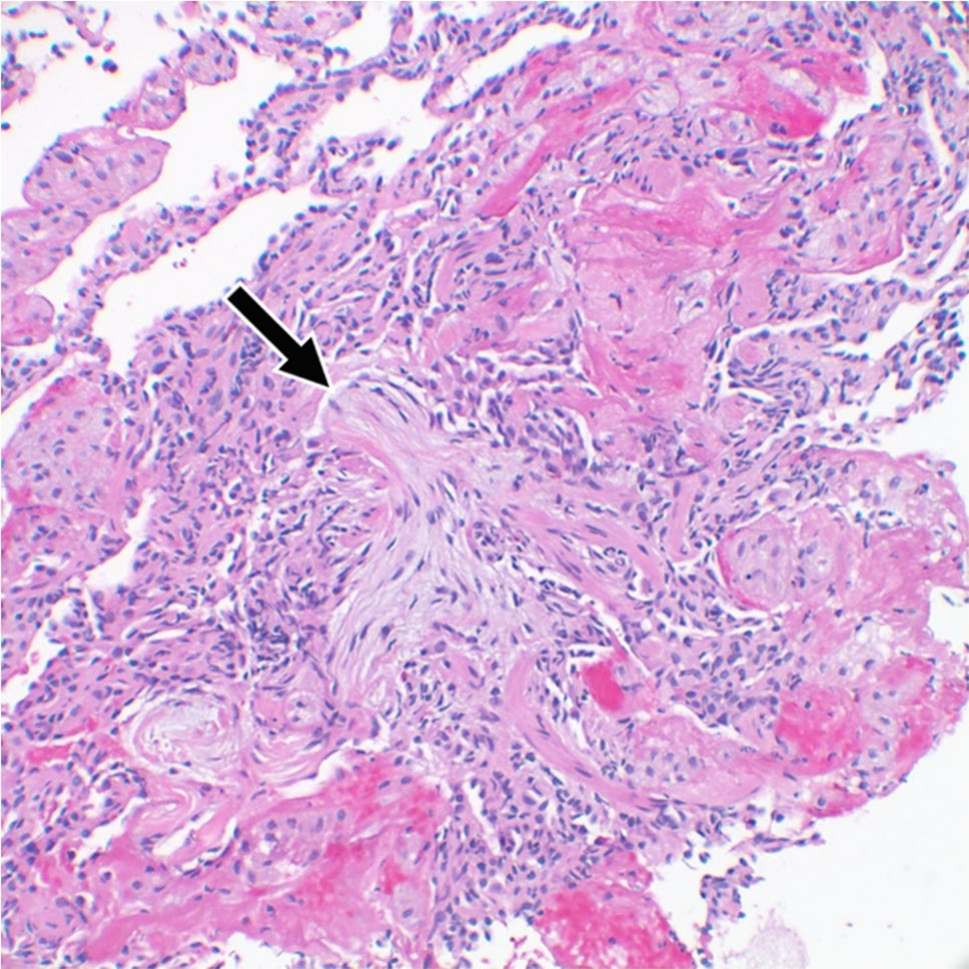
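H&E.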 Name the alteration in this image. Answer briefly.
Organizing pneumonia.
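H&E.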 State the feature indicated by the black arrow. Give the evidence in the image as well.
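The arrow points to a pale, loose, bluish-pink plug of tissue. Elongated spindle-shaped nuclei run in streaming, wavy bundles within the plug.
Hence: Branching fibroblastic tissue with a myxoid stroma.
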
